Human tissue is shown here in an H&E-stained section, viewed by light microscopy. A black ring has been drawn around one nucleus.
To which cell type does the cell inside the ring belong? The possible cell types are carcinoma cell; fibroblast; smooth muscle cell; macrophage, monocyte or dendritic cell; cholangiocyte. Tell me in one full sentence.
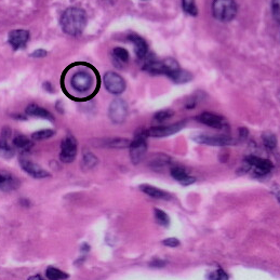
It is as a cholangiocyte that the cell inside the ring is classified.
